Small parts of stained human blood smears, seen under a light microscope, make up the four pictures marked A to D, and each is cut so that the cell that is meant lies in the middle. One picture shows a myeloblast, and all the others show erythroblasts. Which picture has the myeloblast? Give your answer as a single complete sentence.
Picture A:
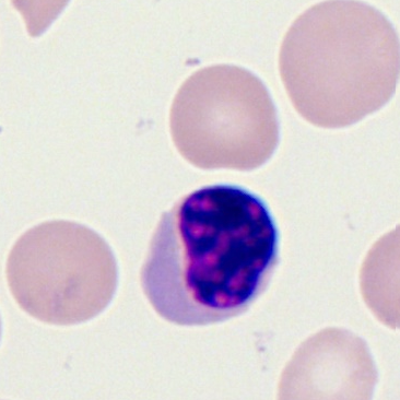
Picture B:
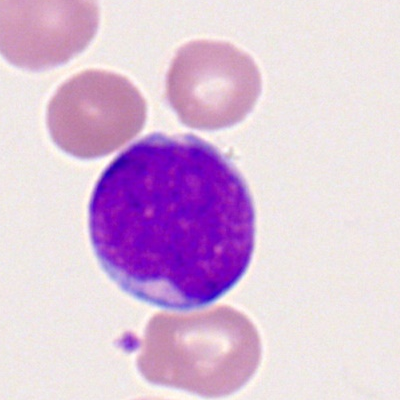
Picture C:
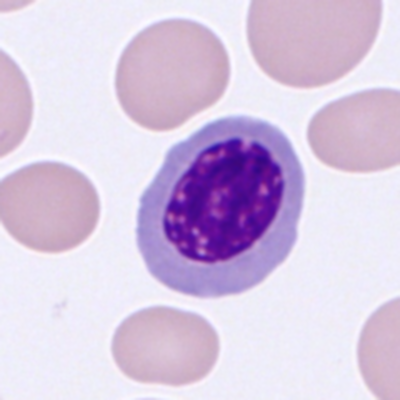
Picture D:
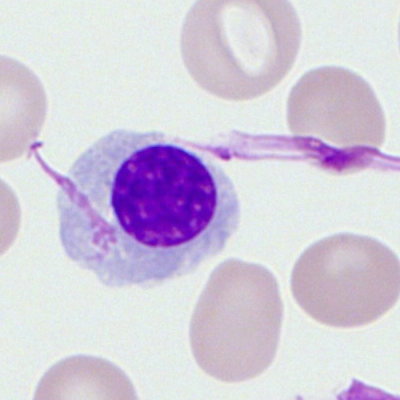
The picture with the myeloblast is B.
